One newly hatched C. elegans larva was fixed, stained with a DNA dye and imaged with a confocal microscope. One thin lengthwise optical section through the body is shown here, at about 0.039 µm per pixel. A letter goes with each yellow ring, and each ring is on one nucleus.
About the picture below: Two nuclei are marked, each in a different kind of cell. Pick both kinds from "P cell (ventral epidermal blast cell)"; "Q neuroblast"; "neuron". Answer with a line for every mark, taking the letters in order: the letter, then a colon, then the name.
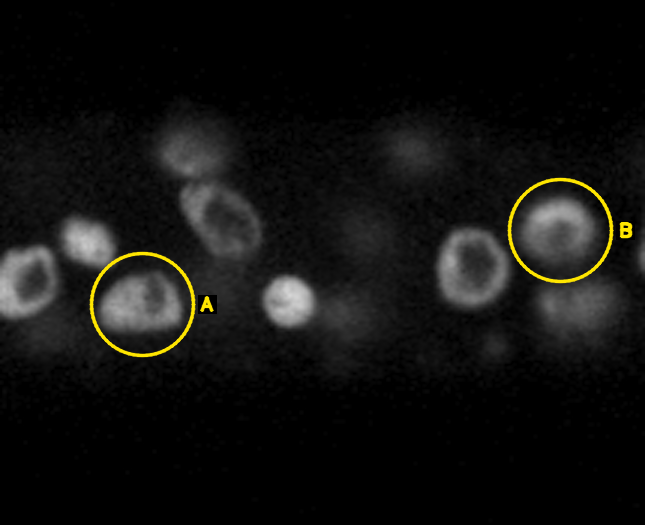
A: P cell (ventral epidermal blast cell)
B: Q neuroblast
